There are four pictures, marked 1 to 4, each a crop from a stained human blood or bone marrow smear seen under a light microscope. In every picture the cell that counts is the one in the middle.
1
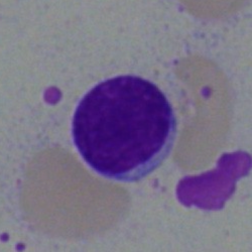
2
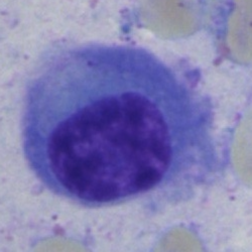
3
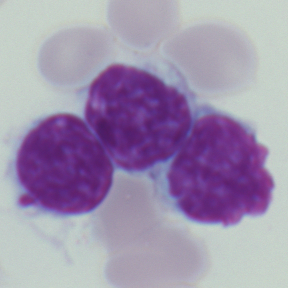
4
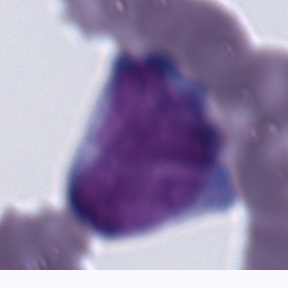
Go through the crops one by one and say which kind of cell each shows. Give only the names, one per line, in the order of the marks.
lymphocyte
plasma cell
blast
blast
